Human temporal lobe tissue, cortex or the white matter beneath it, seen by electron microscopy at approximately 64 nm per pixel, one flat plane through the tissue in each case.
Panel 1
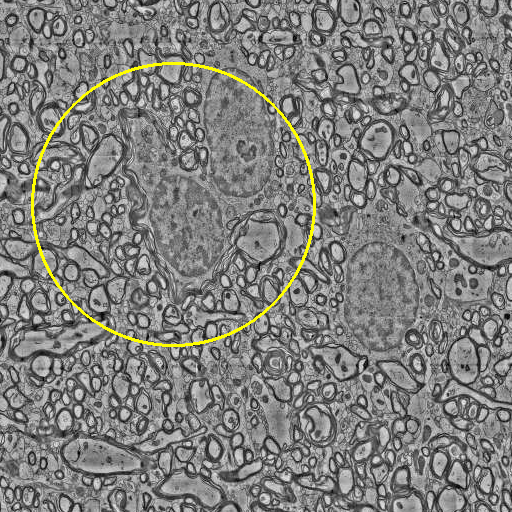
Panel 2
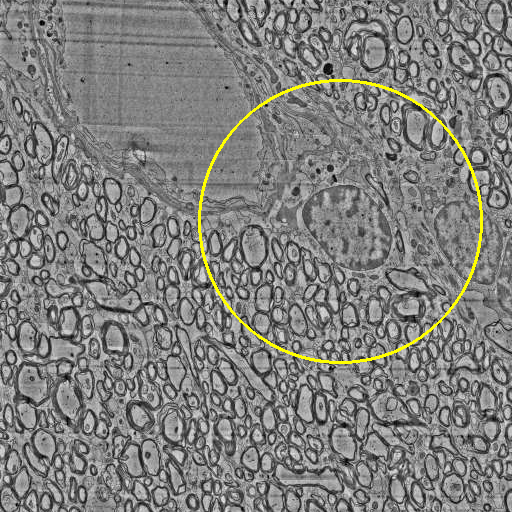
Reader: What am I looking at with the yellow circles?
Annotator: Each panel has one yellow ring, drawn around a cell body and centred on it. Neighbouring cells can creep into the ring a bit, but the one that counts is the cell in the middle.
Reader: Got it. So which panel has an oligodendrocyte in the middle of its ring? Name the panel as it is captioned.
Panel 1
